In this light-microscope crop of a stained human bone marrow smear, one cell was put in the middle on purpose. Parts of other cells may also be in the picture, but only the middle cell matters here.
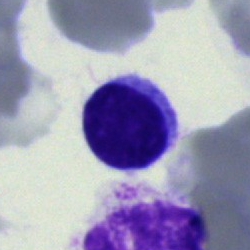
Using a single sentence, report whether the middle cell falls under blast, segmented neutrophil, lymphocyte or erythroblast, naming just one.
The cell at the centre of the field is a lymphocyte.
